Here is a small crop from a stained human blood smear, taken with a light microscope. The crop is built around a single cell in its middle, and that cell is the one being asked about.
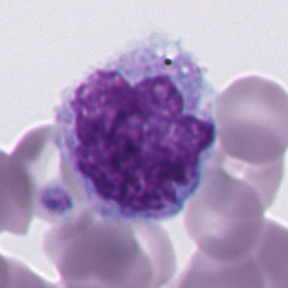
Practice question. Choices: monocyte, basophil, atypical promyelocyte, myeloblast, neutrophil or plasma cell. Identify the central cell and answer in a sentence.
In the middle of this smear crop is a monocyte.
